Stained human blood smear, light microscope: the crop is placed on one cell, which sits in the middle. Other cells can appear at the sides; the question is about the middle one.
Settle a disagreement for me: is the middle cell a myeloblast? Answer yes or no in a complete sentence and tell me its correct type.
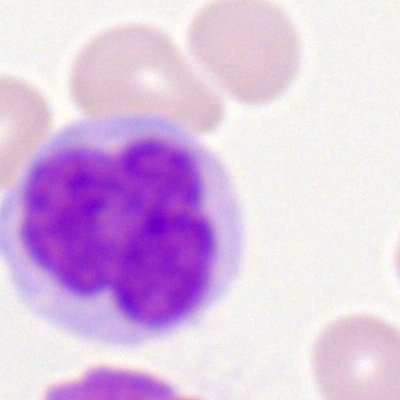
No, the central cell here is a monocyte; calling it a myeloblast is not right.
